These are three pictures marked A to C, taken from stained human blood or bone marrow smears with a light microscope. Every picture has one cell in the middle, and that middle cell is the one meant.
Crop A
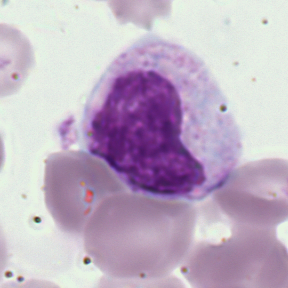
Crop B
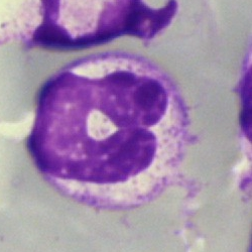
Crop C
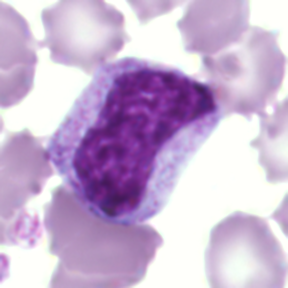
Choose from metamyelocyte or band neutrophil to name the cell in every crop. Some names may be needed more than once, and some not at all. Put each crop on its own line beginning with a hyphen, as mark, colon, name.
- A: metamyelocyte
- B: band neutrophil
- C: metamyelocyte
